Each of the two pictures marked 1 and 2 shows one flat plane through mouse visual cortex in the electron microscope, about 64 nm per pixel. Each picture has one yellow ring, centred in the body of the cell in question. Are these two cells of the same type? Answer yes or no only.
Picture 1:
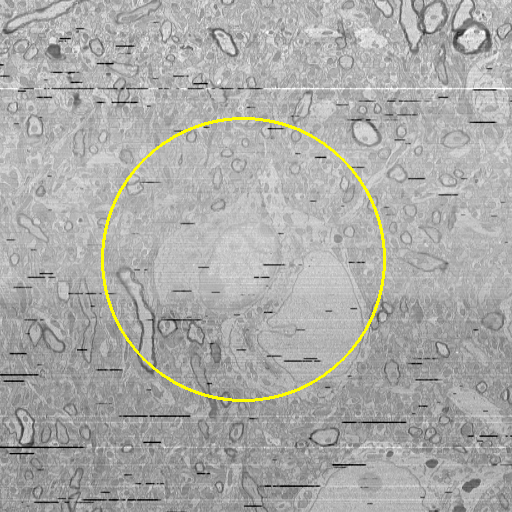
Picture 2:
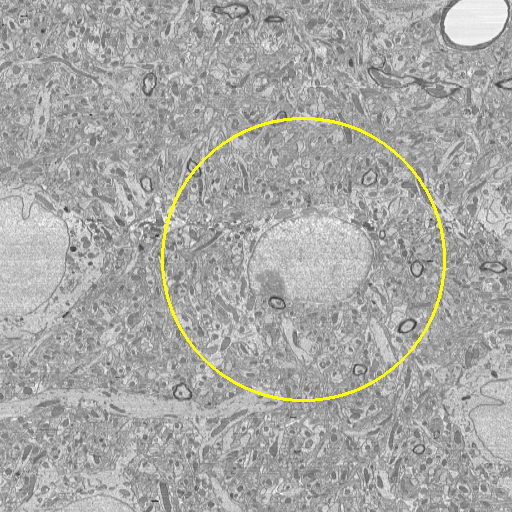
no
